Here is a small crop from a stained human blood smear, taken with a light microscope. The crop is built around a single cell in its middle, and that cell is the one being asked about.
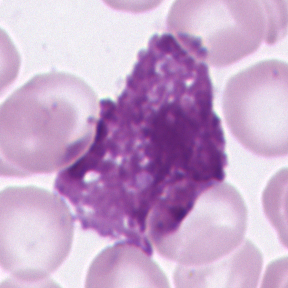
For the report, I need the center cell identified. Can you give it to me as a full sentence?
The crop centres on a single cell, and that cell is a smudge cell.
